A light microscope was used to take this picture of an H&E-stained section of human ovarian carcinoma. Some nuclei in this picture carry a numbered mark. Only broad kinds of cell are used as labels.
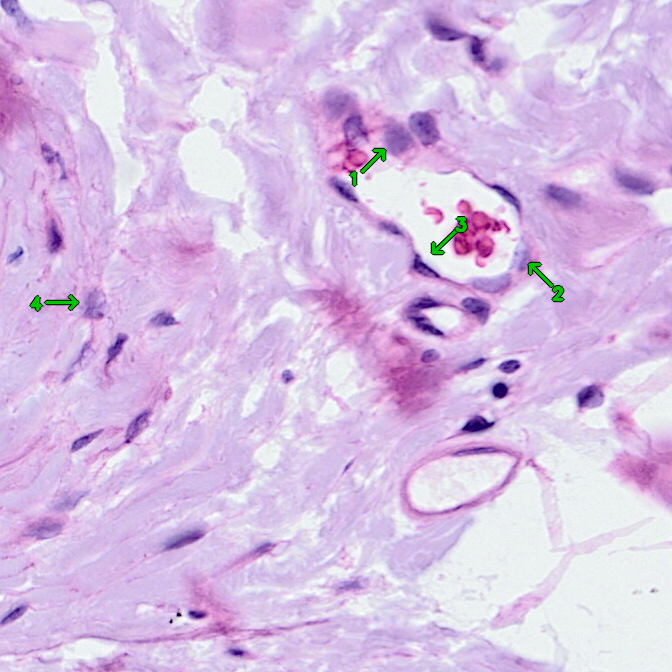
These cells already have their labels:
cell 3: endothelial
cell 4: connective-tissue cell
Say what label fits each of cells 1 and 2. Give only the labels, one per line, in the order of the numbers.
endothelial
endothelial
